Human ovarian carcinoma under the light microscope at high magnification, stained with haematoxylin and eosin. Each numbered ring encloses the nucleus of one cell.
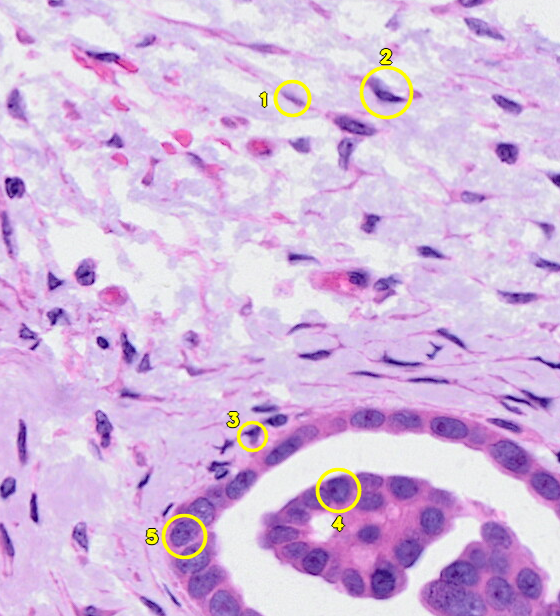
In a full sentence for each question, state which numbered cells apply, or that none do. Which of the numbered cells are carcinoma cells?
The cells to which the numbers 4 and 5 refer are carcinoma cells.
